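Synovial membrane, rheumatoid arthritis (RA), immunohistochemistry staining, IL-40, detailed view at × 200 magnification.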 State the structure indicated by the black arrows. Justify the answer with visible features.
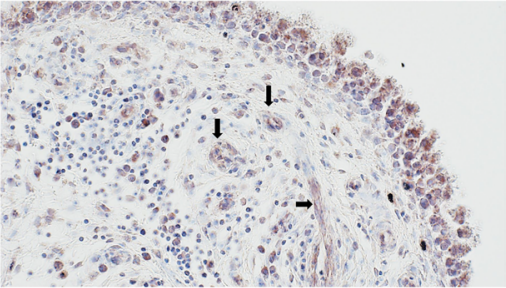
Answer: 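Capillaries. Two arrows point to small round profiles of cells ringing a narrow lumen. One arrow points to a thin elongated tube of flattened cells. The cells of these profiles are stained light brown.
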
